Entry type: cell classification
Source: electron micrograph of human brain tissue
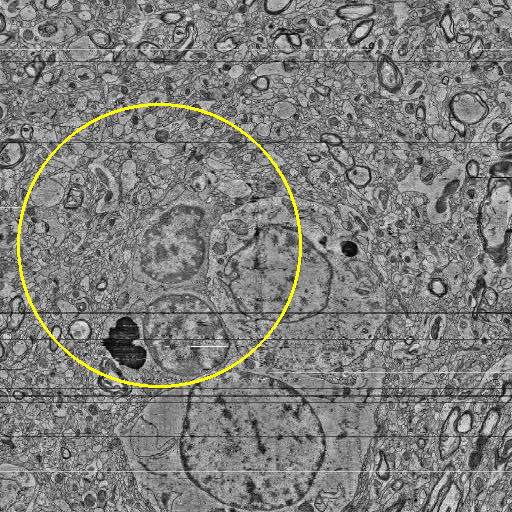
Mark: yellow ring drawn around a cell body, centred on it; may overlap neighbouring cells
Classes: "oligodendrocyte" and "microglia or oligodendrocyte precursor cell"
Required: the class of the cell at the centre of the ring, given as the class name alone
oligodendrocyte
